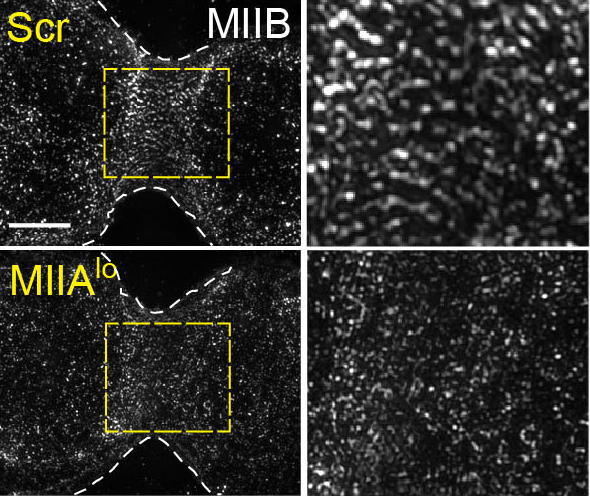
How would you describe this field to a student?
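These are fluorescence images of dividing cells caught mid-constriction, with white dashed lines tracing the cell edges as they dip inward to form a waist. Bright dots and short rod-like structures are scattered through the cell and gather across the constricted middle, which is boxed in yellow. The enlarged views on the right show that region: in the upper cell the structures are elongated, bright and fairly densely packed, while in the lower cell they appear as smaller, dimmer dots.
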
